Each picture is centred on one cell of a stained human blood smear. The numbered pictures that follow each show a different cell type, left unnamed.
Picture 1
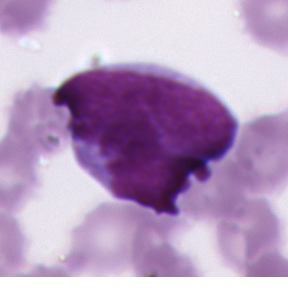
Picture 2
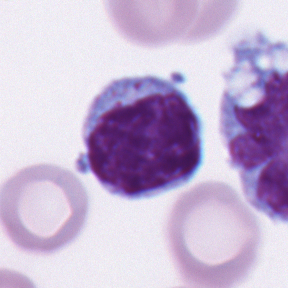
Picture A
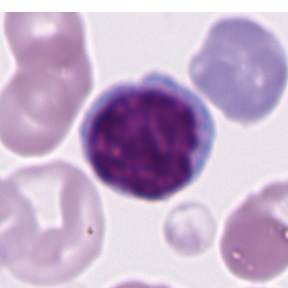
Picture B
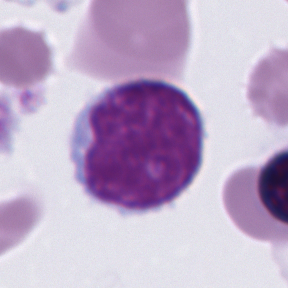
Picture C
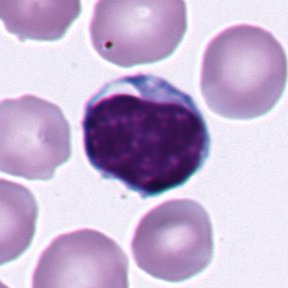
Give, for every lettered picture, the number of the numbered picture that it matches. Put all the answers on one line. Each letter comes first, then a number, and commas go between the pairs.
A 2, B 2, C 2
